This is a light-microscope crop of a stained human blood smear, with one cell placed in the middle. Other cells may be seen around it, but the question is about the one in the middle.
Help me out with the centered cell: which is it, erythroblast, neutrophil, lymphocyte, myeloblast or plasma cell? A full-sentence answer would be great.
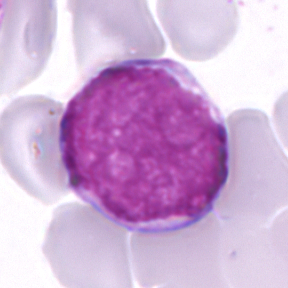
In the central position of this crop, the cell is a myeloblast.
